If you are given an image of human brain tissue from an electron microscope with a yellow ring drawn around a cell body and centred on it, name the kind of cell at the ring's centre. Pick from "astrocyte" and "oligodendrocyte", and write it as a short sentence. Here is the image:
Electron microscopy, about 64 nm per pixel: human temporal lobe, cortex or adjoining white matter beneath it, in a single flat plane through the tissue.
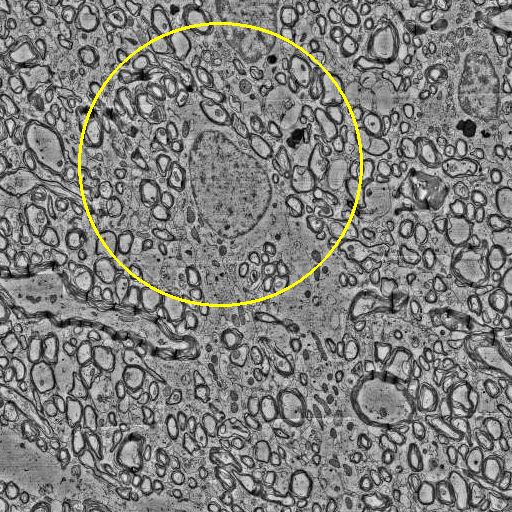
The cell at the ring's centre is an astrocyte.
